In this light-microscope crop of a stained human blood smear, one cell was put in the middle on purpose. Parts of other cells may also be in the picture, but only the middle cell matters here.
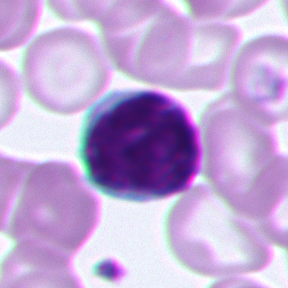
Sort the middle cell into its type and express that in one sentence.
Centrally within this crop lies a typical lymphocyte.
